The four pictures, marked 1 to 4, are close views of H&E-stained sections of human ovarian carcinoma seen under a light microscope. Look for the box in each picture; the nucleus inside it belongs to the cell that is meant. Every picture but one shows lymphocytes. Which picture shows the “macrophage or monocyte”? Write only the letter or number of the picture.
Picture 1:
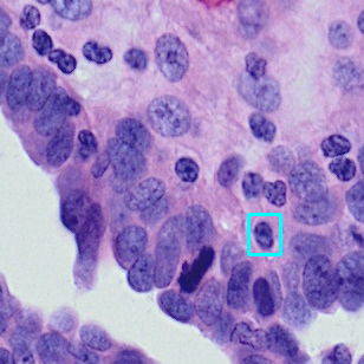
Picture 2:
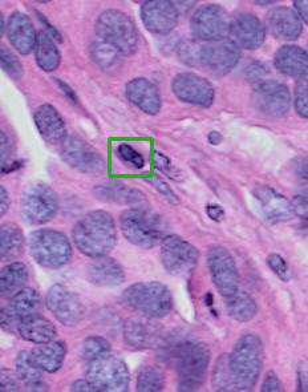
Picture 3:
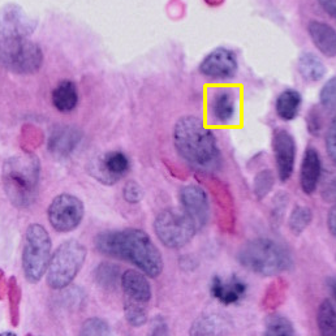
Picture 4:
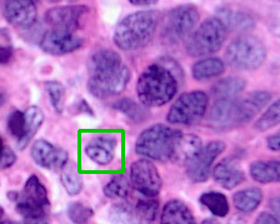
4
